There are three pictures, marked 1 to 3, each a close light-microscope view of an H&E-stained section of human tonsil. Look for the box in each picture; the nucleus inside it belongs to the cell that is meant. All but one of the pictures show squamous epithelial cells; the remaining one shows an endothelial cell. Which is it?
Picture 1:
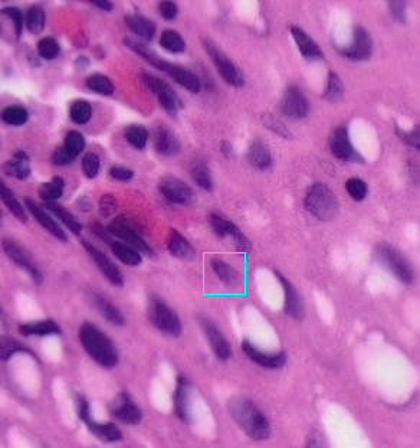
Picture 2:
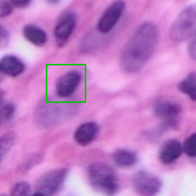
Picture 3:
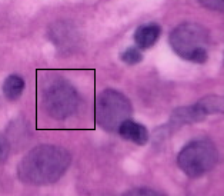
2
